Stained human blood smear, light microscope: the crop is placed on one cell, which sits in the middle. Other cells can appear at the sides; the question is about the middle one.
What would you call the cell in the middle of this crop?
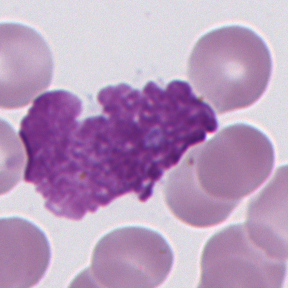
smudge cell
